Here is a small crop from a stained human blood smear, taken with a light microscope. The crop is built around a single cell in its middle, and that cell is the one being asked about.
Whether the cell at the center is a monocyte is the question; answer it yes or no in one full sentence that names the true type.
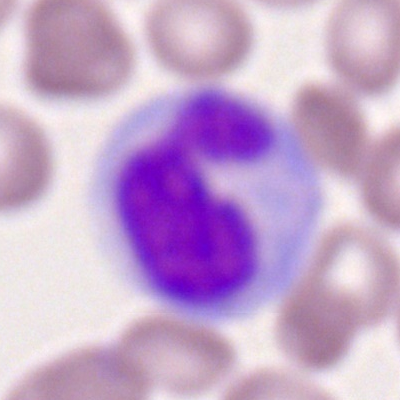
Yes, the cell that the crop is centred on is a monocyte.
